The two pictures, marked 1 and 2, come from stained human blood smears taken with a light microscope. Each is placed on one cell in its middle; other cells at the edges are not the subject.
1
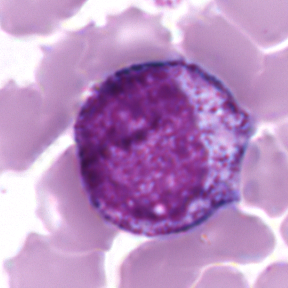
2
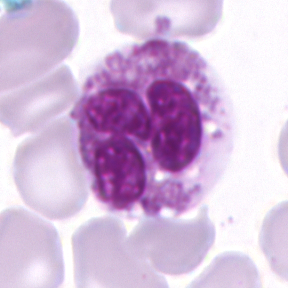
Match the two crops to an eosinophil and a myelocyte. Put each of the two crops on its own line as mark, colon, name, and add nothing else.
1: myelocyte
2: eosinophil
